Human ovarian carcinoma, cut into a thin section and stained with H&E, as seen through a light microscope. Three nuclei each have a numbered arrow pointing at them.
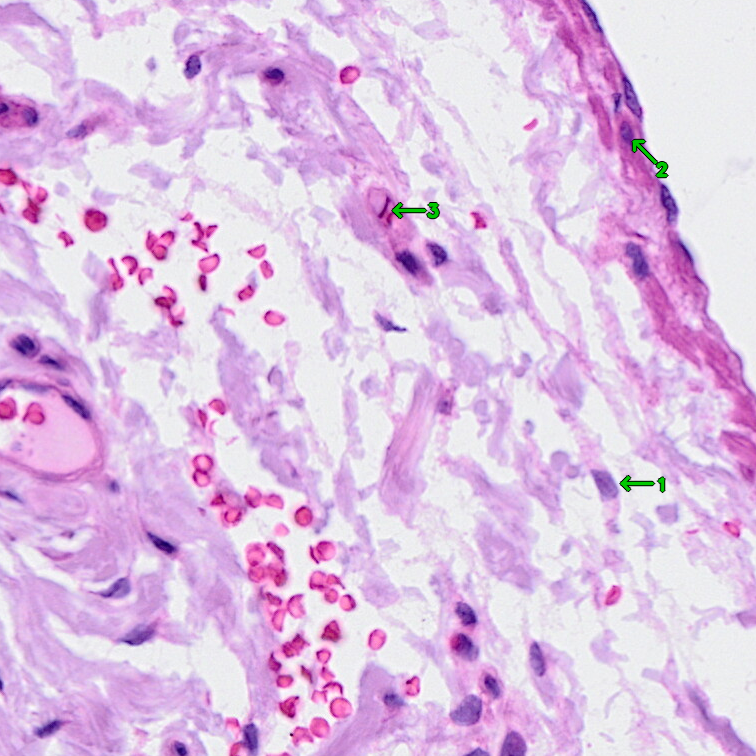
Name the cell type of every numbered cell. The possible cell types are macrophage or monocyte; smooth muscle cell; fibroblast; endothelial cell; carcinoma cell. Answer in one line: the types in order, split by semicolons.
fibroblast; smooth muscle cell; endothelial cell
